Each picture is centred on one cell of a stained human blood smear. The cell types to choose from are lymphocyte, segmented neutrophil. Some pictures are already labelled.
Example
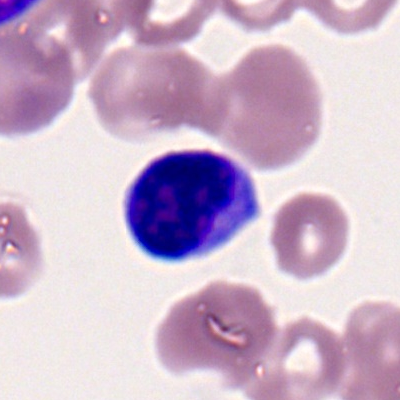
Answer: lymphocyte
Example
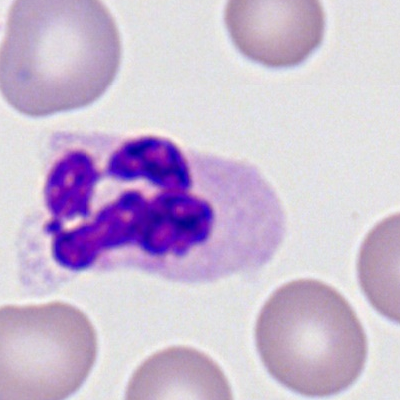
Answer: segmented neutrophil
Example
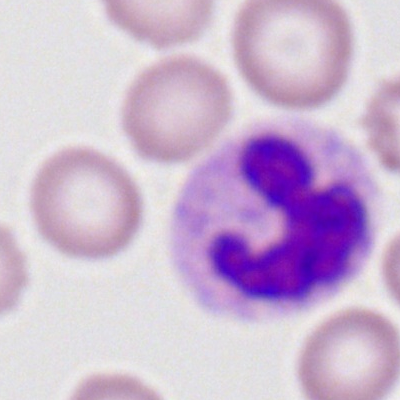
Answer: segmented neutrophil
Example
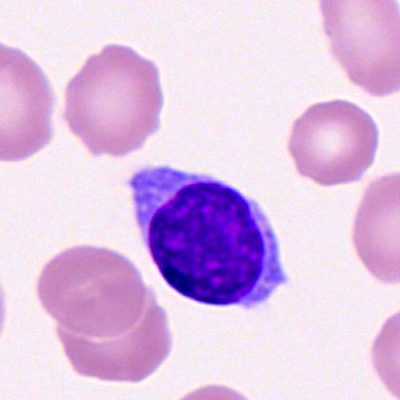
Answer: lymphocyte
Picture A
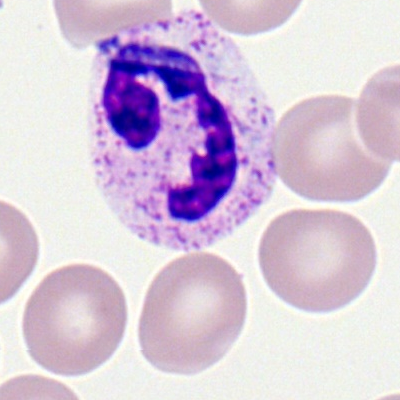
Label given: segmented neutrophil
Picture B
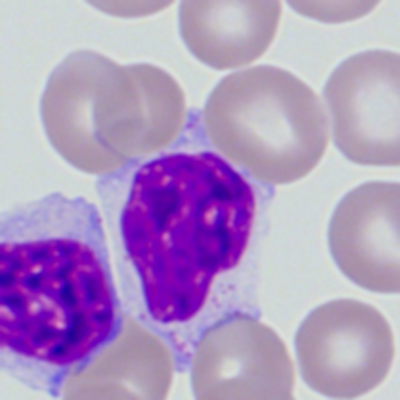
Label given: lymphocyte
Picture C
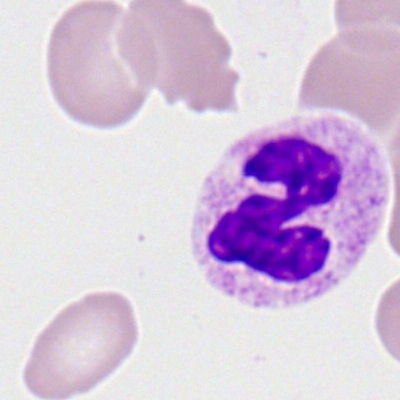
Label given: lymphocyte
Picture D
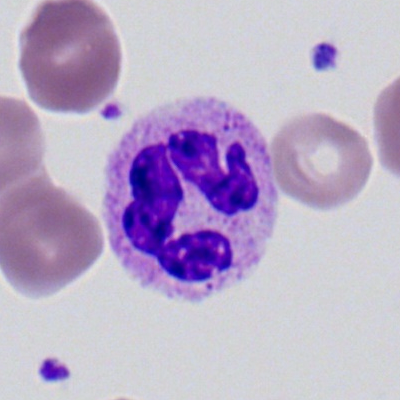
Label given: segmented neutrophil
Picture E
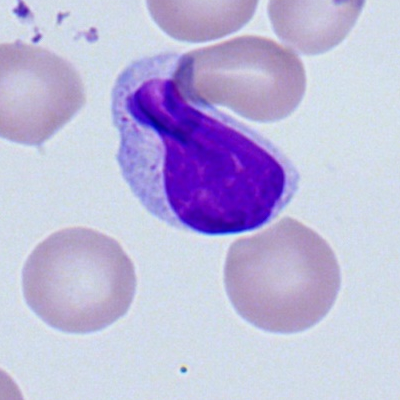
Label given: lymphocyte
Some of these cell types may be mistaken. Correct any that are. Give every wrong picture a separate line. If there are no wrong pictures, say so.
C: not lymphocyte but segmented neutrophil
